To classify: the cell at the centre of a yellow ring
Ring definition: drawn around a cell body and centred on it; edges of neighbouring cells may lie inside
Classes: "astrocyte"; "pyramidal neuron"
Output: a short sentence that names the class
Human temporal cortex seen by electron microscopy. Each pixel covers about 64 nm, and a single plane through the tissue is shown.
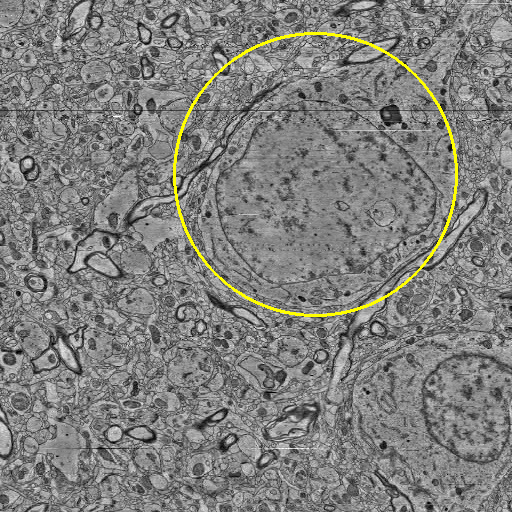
The ringed cell is a pyramidal neuron.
